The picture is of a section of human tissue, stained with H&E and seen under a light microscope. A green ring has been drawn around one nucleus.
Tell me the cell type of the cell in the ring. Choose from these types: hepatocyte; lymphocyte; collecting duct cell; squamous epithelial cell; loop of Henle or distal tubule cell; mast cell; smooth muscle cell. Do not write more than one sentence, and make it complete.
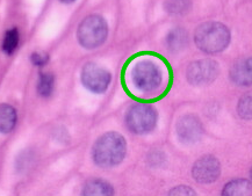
As far as its identity is concerned, the cell in the ring is a squamous epithelial cell.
